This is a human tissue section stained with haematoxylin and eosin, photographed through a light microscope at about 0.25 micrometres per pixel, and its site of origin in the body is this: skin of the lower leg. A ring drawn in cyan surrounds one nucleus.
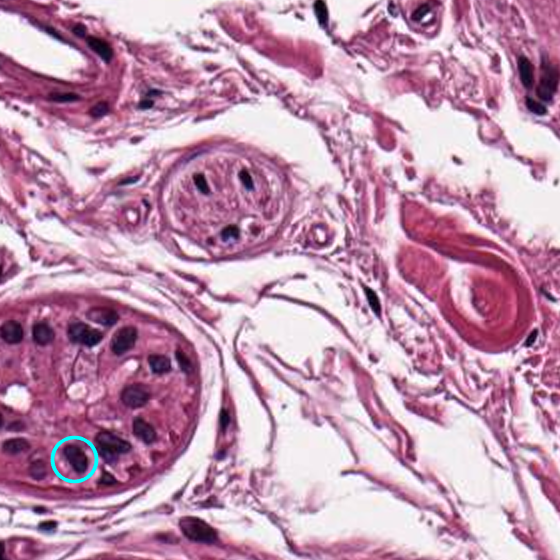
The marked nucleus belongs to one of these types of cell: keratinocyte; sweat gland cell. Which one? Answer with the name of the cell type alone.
sweat gland cell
